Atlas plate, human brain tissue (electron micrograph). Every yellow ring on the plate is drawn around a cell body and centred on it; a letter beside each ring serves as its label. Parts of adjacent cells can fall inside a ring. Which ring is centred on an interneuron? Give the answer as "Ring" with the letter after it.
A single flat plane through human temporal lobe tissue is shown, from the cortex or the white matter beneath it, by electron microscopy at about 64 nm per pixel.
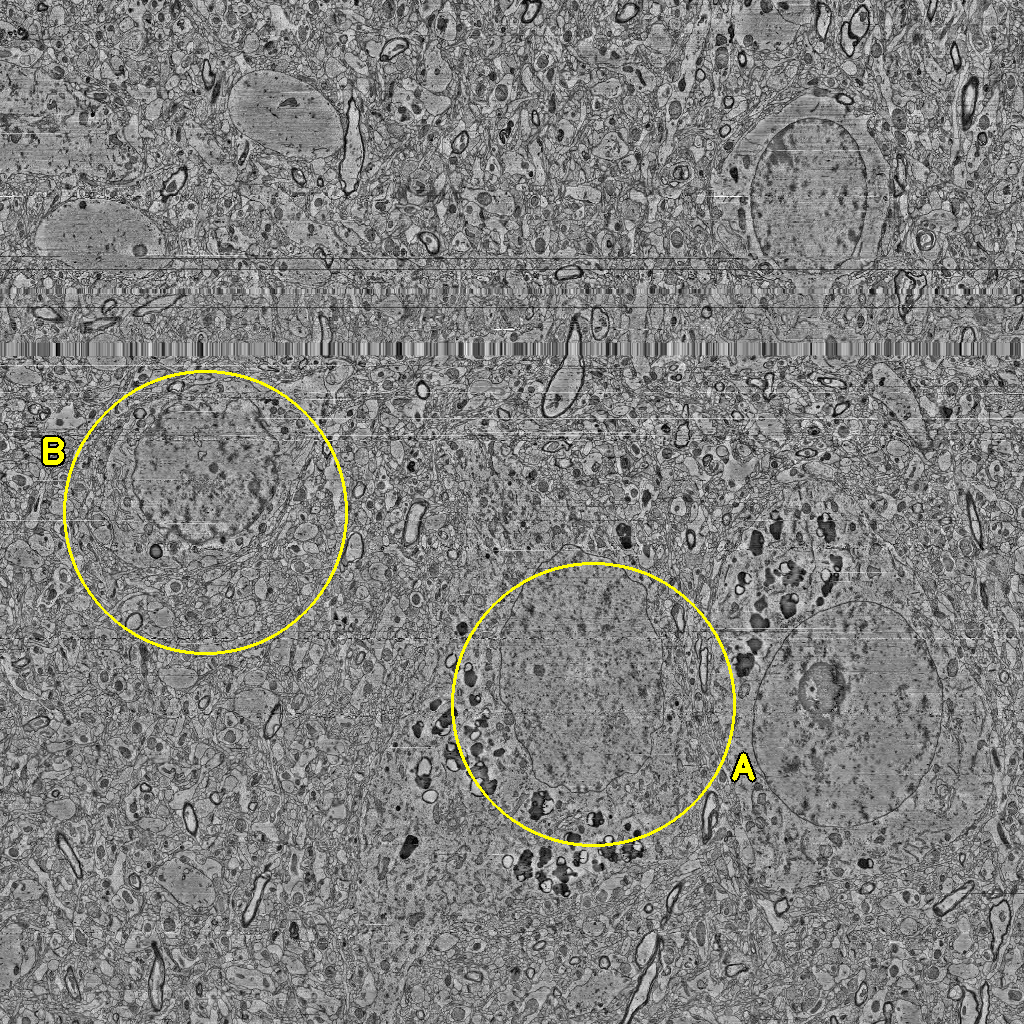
Ring B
